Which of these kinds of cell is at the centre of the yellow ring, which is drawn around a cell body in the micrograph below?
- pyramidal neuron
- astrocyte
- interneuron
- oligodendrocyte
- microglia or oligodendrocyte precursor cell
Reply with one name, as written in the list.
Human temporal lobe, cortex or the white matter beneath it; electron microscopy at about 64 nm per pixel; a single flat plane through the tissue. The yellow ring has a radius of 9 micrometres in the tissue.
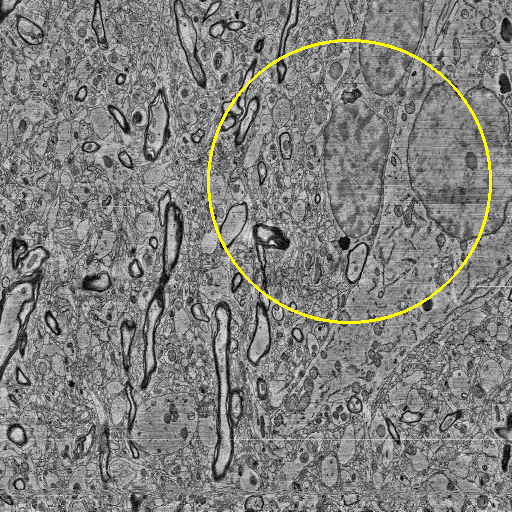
oligodendrocyte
